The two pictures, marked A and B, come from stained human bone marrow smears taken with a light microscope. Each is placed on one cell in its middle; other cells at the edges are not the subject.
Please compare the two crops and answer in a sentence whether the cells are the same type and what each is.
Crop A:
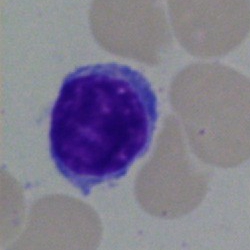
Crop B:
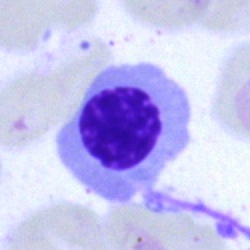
No, crop A is of a lymphocyte, and crop B is of an erythroblast.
